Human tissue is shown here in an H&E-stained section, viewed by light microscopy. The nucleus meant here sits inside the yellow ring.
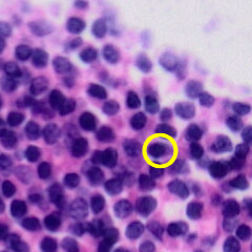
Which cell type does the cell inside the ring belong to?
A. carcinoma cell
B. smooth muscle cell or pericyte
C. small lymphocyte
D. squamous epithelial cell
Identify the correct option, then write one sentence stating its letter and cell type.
Here the correct option is C, since the cell inside the ring is a small lymphocyte.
